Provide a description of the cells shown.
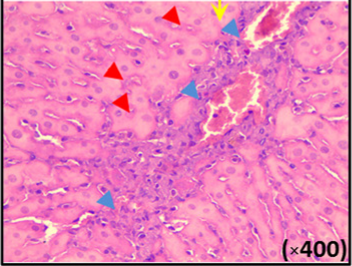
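This is liver seen at high power, with hepatocytes arranged in cords of polygonal cells that have pink cytoplasm and round nuclei, separated by narrow sinusoids. Running across the field is a band crowded with small, dark, closely packed nuclei, quite unlike the orderly hepatocyte cords beside it. Within this band lie vessels filled with red blood cells.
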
